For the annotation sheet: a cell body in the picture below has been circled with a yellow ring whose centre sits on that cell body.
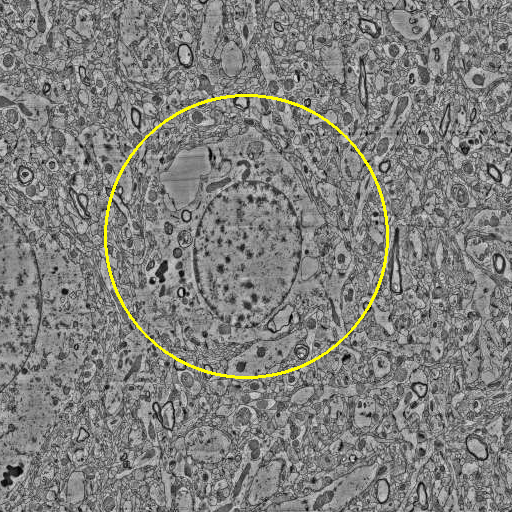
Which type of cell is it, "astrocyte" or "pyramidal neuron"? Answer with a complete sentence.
The circled cell is an astrocyte.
